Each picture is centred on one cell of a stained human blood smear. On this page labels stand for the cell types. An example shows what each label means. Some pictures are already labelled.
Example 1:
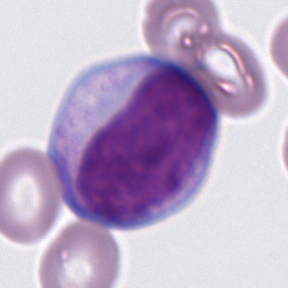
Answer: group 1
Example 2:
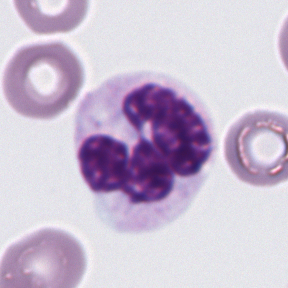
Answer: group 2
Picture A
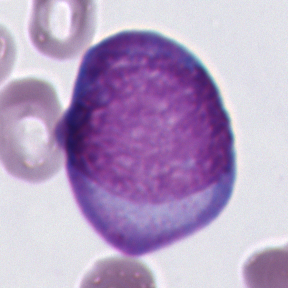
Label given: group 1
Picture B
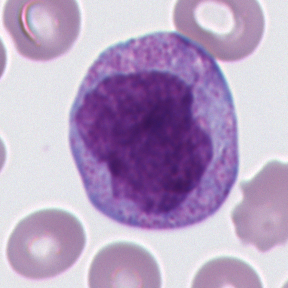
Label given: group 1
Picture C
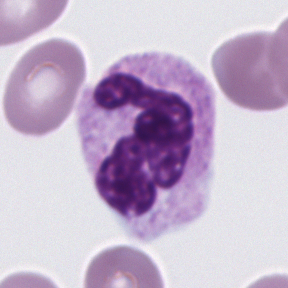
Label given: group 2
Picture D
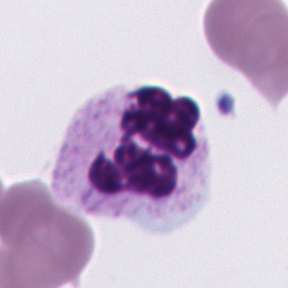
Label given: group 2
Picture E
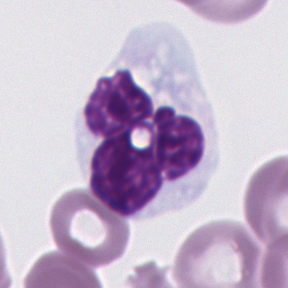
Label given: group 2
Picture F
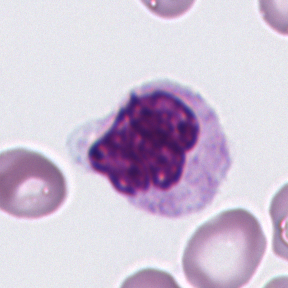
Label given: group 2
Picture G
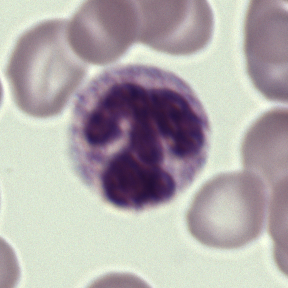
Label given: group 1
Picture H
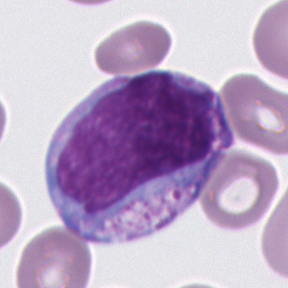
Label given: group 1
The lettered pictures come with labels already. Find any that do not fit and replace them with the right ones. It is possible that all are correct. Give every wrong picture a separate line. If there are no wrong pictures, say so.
G: not group 1 but group 2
